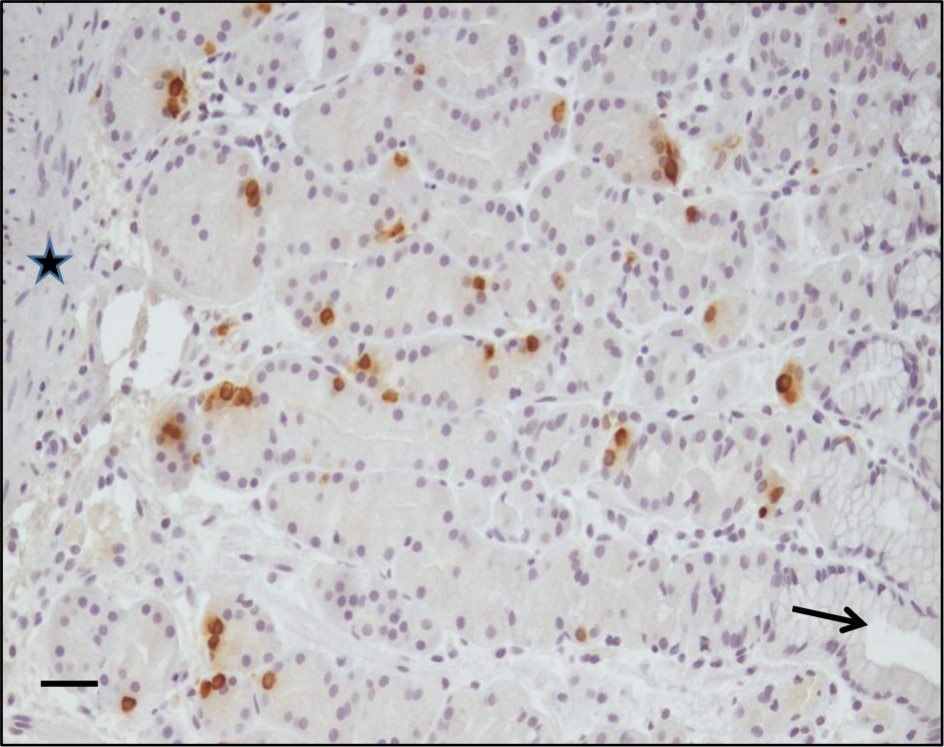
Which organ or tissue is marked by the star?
muscularis mucosae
